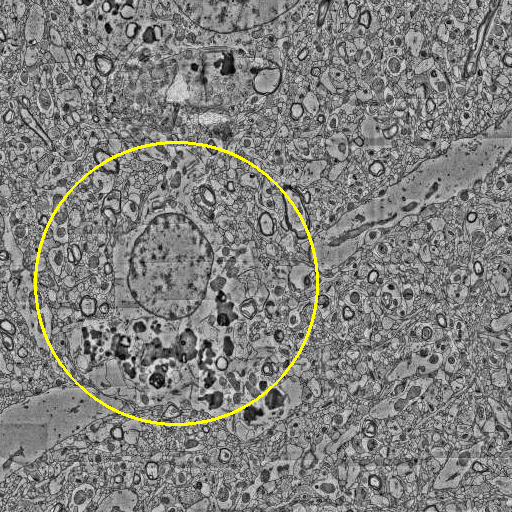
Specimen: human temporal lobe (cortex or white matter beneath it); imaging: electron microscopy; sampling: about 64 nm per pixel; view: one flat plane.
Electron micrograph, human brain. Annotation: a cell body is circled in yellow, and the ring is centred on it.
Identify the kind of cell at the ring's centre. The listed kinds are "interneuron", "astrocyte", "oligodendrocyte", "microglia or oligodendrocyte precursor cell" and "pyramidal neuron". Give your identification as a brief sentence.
The circled cell body is that of an astrocyte.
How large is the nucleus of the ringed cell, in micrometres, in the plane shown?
In this plane, approximately 7 by 6 micrometers.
